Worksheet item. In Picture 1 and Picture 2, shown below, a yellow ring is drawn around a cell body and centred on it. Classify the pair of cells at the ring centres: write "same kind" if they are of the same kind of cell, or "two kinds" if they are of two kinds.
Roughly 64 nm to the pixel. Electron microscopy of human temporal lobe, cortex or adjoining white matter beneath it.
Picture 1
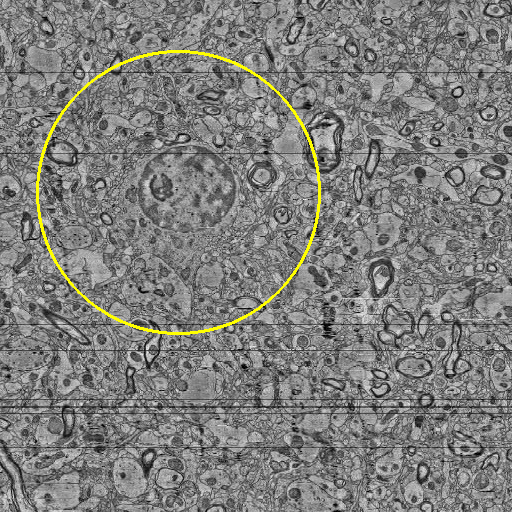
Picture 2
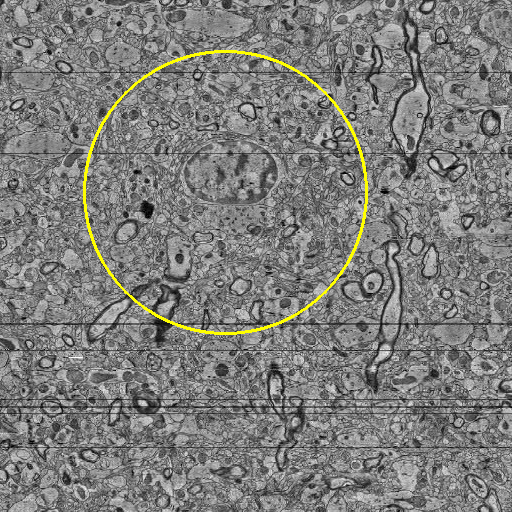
two kinds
